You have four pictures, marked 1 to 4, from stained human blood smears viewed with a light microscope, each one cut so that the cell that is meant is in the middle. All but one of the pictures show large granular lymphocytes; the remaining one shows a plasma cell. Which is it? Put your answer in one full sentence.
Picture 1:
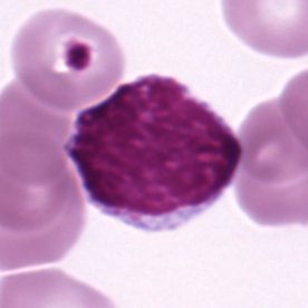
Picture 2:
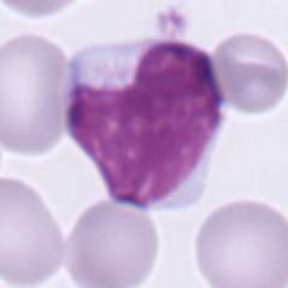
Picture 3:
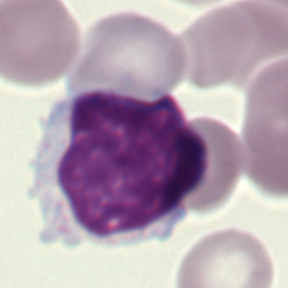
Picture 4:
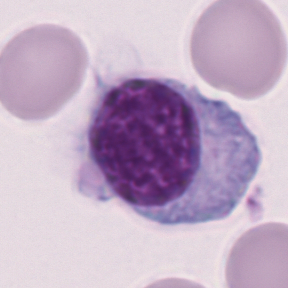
The cell in picture 4 is the plasma cell.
